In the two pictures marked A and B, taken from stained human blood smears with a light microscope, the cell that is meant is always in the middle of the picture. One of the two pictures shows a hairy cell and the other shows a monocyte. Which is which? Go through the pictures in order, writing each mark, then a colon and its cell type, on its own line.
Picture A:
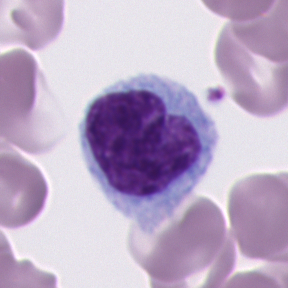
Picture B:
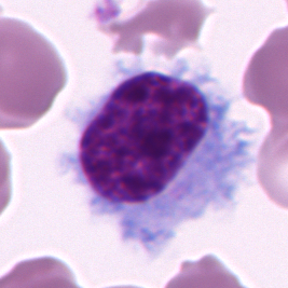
A: monocyte
B: hairy cell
